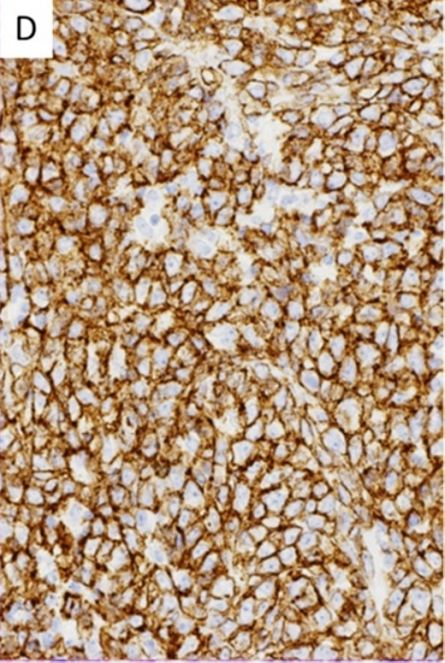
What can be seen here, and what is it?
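A sheet of large, tightly packed tumor cells shows brown staining outlining the membrane of nearly every cell, giving a mesh-like pattern. The nuclei are pale blue and unstained, round to oval, set within the brown outlines, with a few small clear spaces between groups of cells.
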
